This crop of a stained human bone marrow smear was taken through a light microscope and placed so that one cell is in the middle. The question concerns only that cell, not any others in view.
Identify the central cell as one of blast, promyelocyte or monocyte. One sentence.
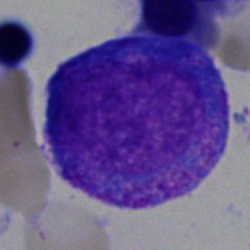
What sits at the centre of this crop is a promyelocyte.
